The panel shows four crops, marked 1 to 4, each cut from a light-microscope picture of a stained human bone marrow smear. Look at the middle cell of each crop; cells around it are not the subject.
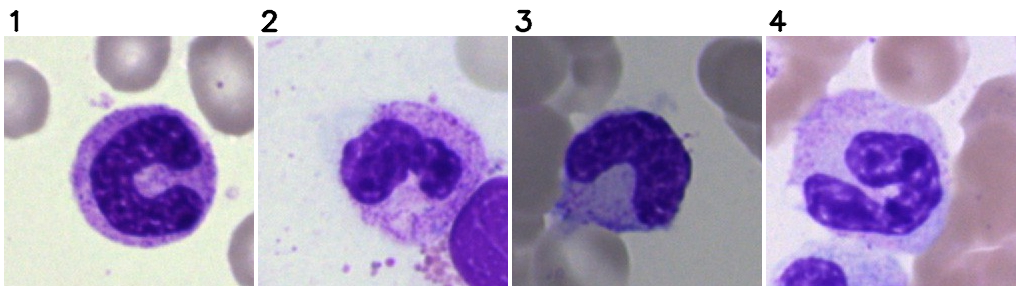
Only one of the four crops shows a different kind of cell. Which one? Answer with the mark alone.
2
